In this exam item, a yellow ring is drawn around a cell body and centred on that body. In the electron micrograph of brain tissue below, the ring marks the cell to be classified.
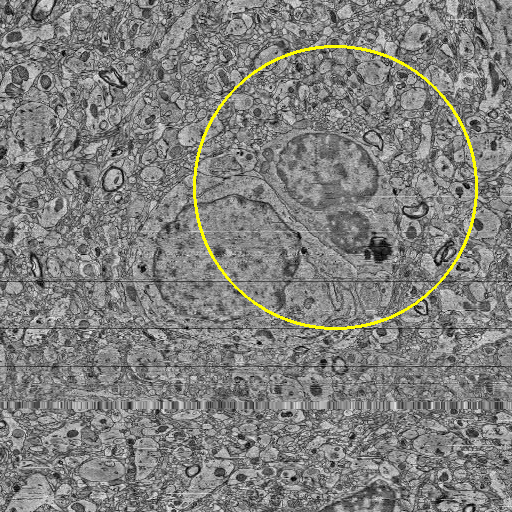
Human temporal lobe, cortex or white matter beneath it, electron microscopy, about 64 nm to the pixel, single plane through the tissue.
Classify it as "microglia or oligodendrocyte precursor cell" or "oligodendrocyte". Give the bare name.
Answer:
oligodendrocyte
